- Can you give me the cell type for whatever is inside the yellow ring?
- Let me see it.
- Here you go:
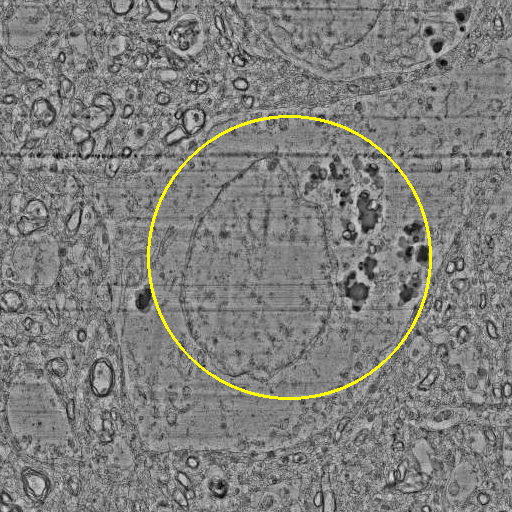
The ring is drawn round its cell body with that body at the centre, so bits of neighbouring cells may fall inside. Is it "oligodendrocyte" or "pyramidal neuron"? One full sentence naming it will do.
The cell body in the middle of the ring in this picture belongs to a pyramidal neuron.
